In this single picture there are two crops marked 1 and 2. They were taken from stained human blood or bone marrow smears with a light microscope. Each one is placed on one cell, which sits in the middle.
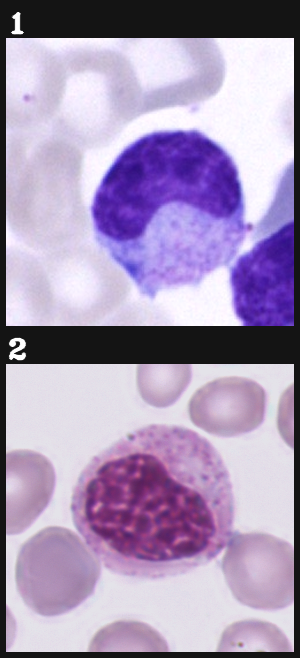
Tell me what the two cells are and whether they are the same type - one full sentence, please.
Yes, the cells found in the middle of both crops are metamyelocytes.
